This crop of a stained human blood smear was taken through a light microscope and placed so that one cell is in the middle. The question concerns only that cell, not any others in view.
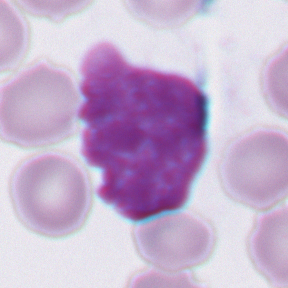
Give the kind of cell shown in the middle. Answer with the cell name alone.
smudge cell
